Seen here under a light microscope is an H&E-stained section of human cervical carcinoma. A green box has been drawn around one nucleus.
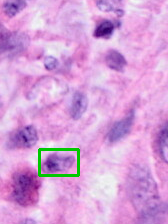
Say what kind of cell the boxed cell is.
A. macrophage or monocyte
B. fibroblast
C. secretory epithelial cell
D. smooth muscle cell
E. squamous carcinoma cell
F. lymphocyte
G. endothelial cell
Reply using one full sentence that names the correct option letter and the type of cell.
The correct choice is option A; the boxed cell is a macrophage or monocyte.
